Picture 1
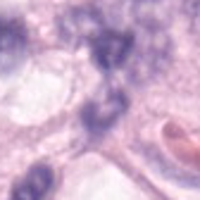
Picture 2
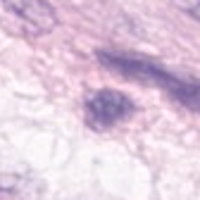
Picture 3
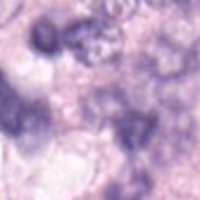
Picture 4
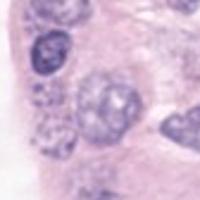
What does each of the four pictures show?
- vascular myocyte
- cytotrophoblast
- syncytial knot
1. syncytial knot
2. vascular myocyte
3. syncytial knot
4. cytotrophoblast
